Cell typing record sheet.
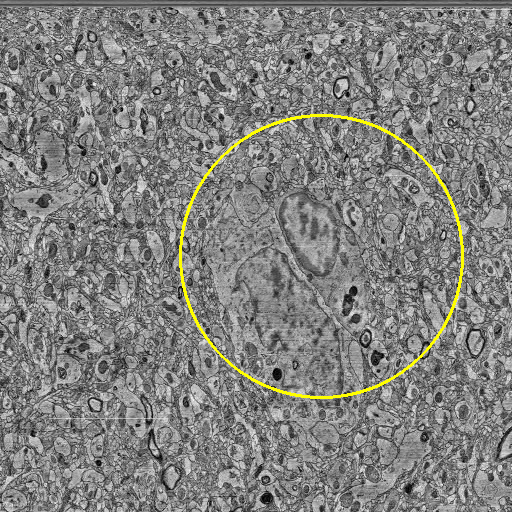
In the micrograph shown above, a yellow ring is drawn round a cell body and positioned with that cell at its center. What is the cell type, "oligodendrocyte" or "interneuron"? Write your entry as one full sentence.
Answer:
The cell body at the center of the ring belongs to an oligodendrocyte.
